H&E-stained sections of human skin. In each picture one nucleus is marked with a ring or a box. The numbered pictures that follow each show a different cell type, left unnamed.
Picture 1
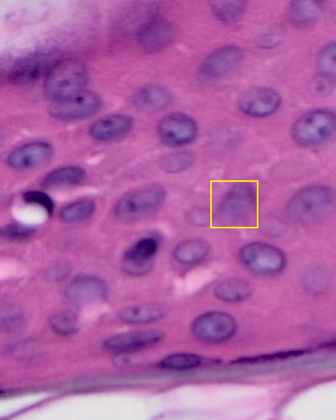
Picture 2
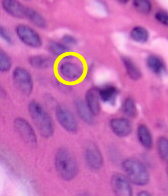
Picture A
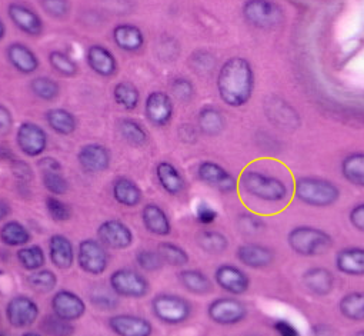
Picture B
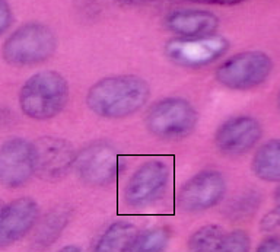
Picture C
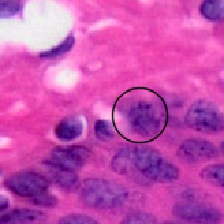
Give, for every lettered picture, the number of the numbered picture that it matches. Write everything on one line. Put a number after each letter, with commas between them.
A 1, B 1, C 2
